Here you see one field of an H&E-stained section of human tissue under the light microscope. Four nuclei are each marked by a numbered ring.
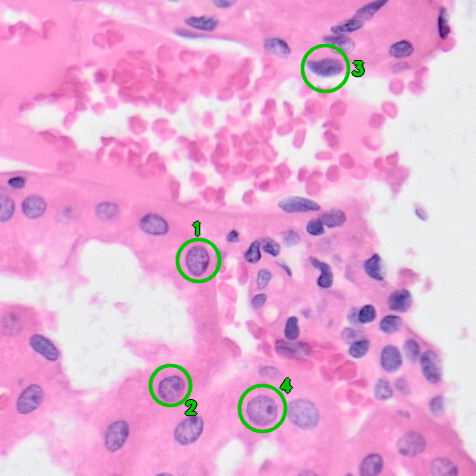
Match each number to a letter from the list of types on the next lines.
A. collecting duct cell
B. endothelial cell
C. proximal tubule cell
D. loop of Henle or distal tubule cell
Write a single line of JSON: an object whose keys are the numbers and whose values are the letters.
{"1": "C", "2": "C", "3": "B", "4": "C"}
